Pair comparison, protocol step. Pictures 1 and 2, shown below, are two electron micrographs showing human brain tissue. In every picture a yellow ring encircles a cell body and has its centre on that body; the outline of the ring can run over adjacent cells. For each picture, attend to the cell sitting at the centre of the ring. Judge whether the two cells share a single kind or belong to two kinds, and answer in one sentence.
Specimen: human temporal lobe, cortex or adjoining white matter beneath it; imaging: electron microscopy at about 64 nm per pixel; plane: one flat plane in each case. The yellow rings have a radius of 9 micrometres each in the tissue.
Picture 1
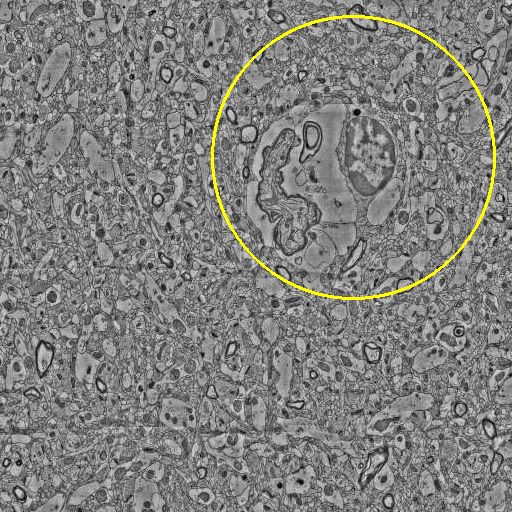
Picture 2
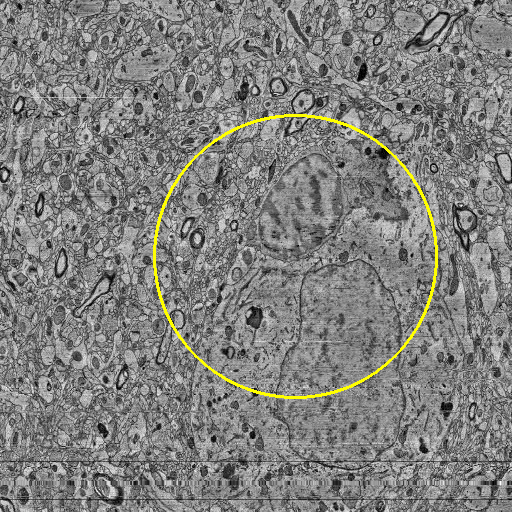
The two cells at the ring centres in Picture 1 and Picture 2 belong to two kinds.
